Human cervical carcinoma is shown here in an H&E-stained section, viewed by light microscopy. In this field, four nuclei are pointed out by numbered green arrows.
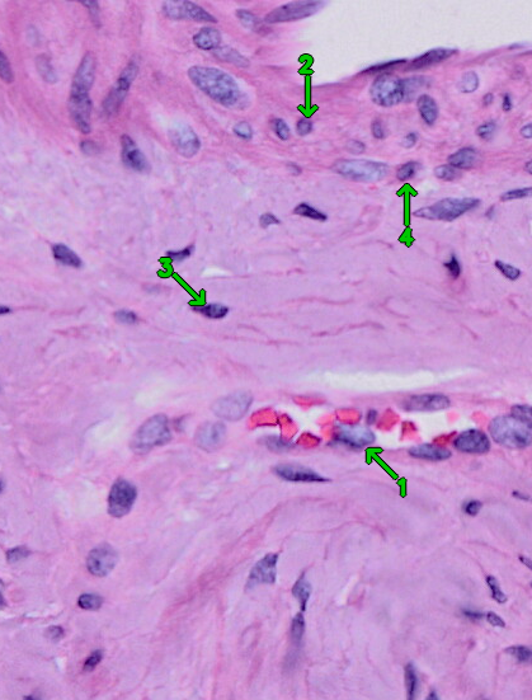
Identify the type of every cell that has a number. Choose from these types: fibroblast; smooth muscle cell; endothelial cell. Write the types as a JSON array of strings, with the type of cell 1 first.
["endothelial cell", "smooth muscle cell", "fibroblast", "smooth muscle cell"]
